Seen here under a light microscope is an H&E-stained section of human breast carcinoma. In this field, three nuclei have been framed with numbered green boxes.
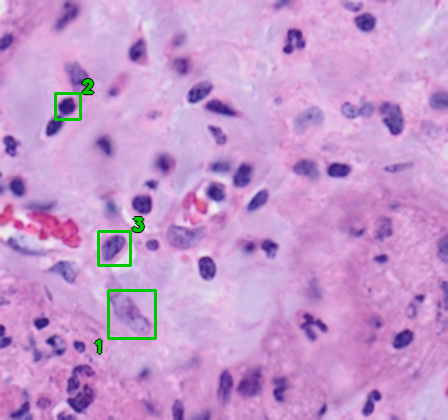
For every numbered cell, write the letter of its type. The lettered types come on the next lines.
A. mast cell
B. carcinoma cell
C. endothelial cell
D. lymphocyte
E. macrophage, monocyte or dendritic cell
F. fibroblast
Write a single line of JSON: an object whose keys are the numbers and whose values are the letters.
{"1": "F", "2": "D", "3": "A"}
